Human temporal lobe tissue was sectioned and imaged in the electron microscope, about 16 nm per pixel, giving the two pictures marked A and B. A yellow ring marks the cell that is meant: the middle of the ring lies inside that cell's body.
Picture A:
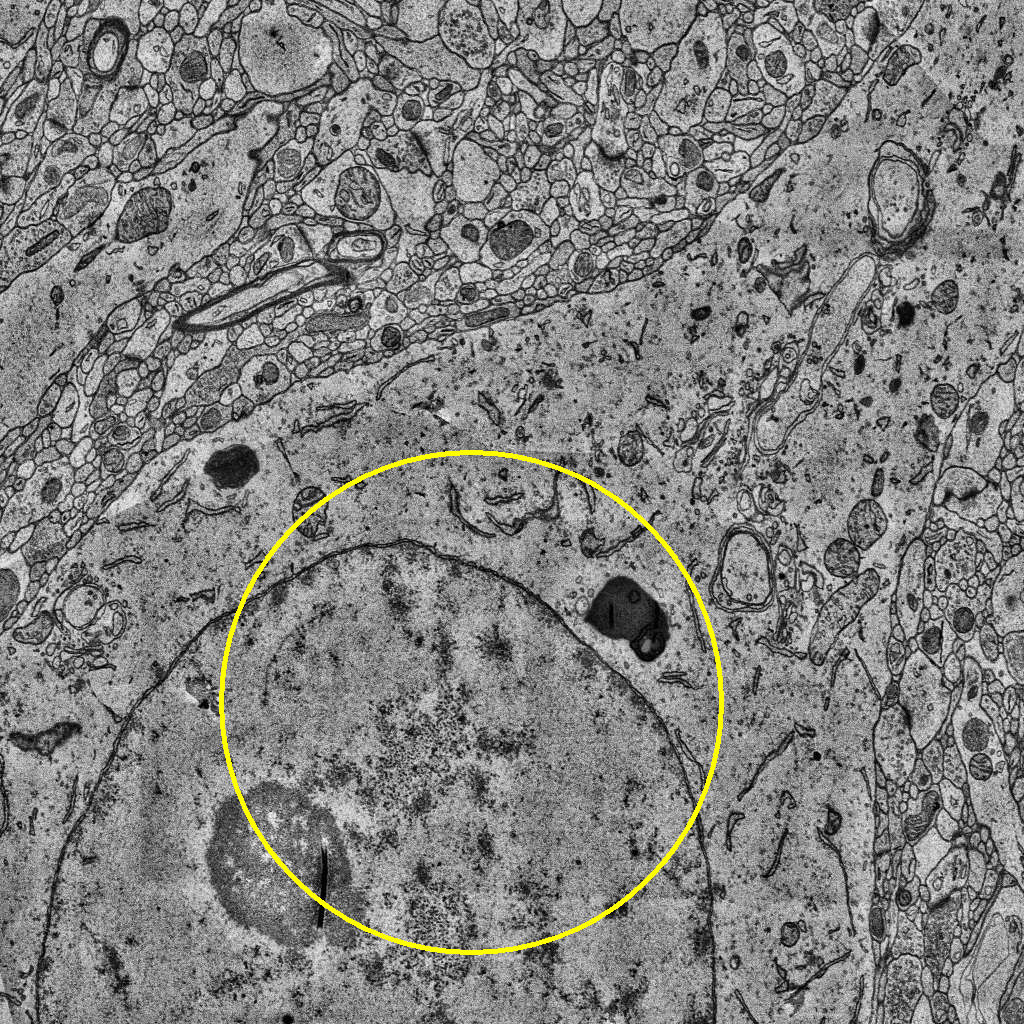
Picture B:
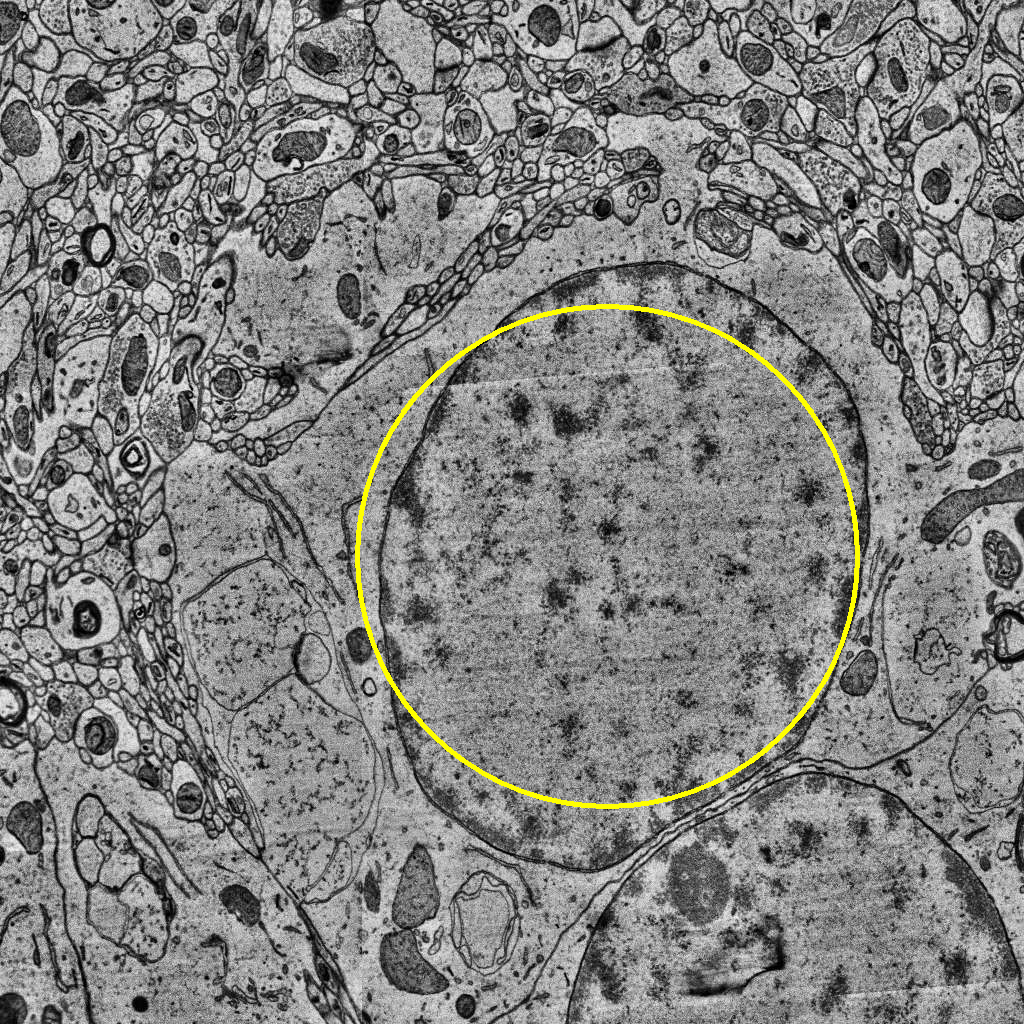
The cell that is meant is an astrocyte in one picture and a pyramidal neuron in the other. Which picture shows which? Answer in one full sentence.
Picture B shows an astrocyte, while picture A shows a pyramidal neuron.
